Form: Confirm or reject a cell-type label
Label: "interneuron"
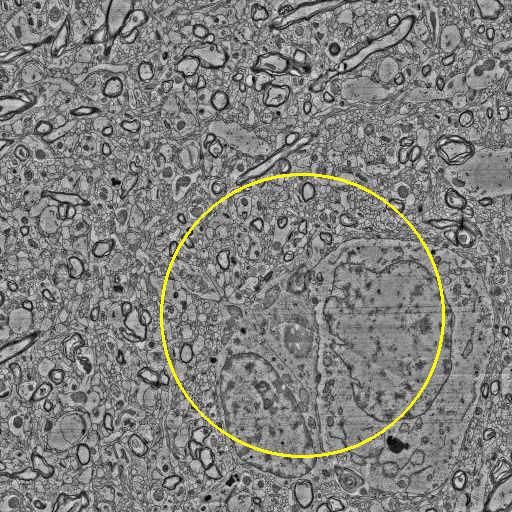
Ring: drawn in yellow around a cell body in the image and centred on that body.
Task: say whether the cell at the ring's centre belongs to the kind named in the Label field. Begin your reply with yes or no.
No, it belongs to another kind.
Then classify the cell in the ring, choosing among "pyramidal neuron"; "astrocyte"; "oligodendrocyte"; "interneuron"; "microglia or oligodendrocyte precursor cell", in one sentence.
The cell at the middle of the ring is an oligodendrocyte.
